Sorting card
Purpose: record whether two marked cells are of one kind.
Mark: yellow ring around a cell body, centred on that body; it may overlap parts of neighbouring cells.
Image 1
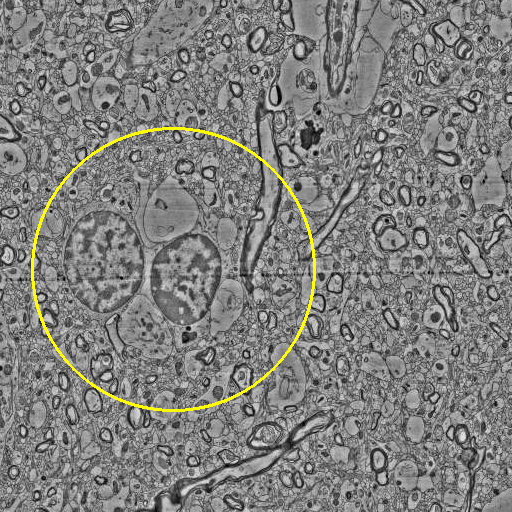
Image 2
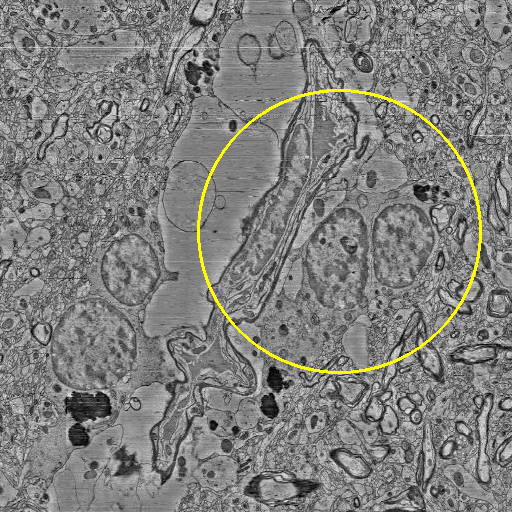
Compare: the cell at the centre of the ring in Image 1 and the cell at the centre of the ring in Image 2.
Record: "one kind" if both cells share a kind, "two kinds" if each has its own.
two kinds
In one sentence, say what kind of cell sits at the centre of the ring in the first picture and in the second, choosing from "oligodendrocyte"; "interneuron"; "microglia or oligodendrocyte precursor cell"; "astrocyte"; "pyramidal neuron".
The first picture's ringed cell is a microglial cell or oligodendrocyte precursor cell, while the second picture's is an oligodendrocyte.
